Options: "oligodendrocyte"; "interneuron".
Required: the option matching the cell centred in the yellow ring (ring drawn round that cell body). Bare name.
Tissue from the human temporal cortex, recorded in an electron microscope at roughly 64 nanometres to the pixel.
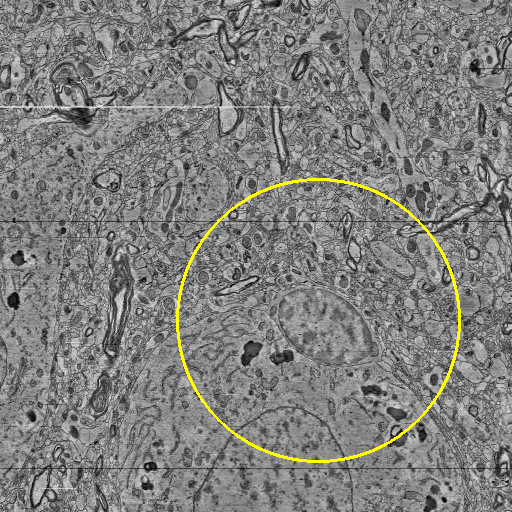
oligodendrocyte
